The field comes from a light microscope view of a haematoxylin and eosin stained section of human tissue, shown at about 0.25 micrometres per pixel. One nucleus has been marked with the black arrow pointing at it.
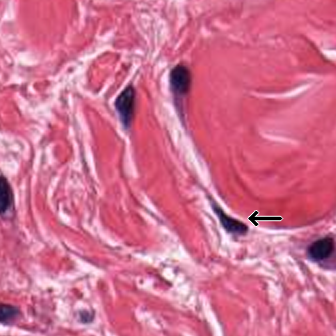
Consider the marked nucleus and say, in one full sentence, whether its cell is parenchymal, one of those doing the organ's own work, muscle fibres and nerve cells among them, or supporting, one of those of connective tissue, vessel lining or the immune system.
The cell bearing the marked nucleus is a supporting cell.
